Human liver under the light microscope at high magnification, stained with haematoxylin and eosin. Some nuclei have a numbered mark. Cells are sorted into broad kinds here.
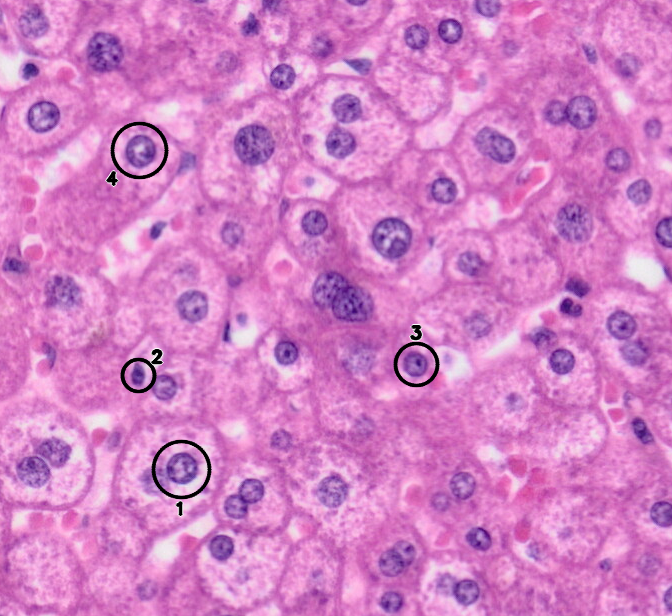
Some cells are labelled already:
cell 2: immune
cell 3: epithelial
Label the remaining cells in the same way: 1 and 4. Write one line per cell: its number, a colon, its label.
1: epithelial
4: epithelial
